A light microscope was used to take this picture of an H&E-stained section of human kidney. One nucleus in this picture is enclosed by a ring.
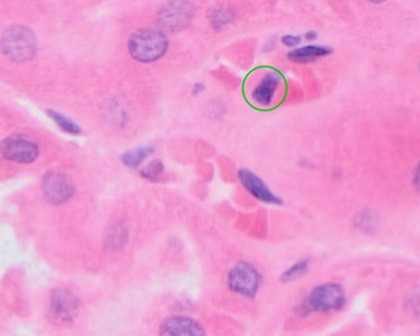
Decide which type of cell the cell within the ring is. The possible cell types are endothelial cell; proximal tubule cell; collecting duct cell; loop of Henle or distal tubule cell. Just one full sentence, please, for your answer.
Placed in its cell category, the cell within the ring is an endothelial cell.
